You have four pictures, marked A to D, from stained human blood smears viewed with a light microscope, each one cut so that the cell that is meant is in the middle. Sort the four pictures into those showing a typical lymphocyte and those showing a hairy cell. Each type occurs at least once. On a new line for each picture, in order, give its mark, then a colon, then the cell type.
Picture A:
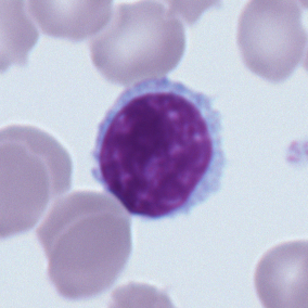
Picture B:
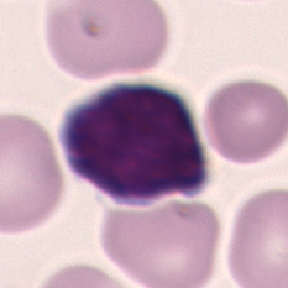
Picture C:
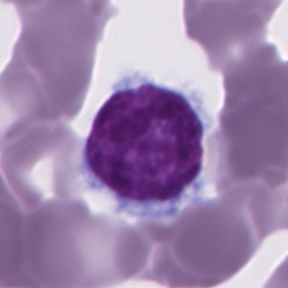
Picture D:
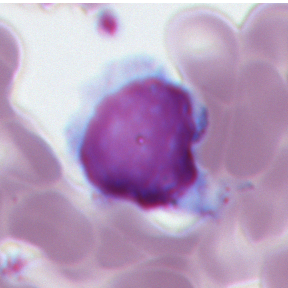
A: typical lymphocyte
B: typical lymphocyte
C: hairy cell
D: typical lymphocyte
